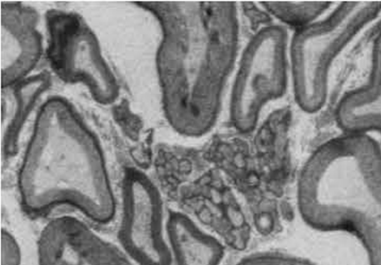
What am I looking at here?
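This electron micrograph shows a cross section of peripheral nerve with several large myelinated axons. The sheaths follow the folded and angular outlines of the axons. Near the centre lies a cluster of many small, pale, rounded profiles without dark sheaths, grouped together between the myelinated fibres. Light, finely textured material fills the spaces between the fibres.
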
